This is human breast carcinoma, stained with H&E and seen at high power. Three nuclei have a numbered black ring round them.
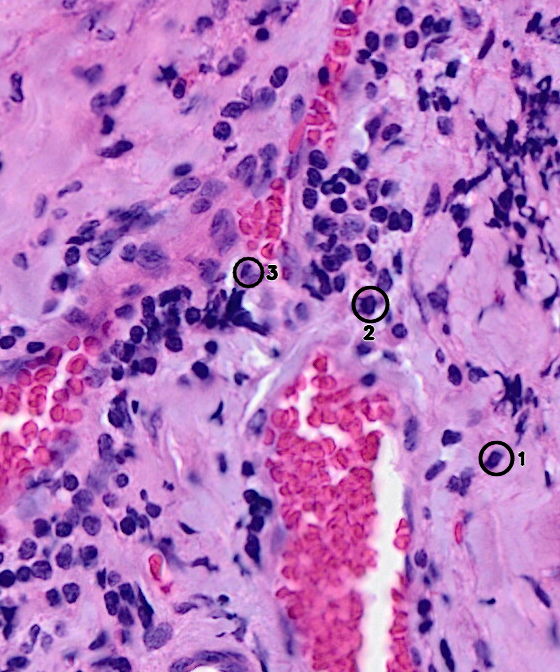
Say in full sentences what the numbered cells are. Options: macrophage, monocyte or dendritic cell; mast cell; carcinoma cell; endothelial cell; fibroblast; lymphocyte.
Cells 1 and 2 are lymphocytes. Cell 3 is an endothelial cell.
